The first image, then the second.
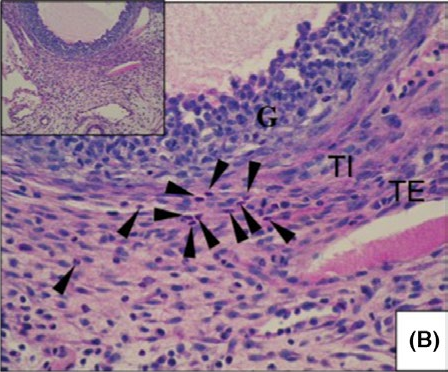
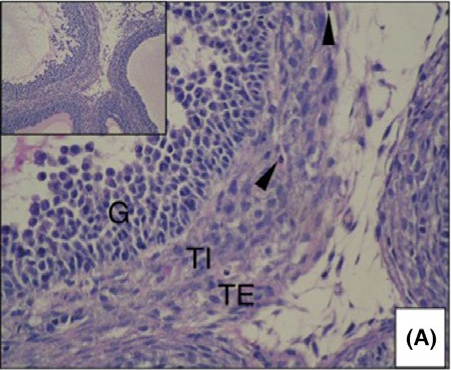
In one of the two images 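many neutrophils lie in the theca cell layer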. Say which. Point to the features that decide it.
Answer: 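First image: a dense cluster of about ten small dark-nucleated cells is marked in the theca layer. Second image: only a couple of such cells are marked in the theca layer.
The first image.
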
